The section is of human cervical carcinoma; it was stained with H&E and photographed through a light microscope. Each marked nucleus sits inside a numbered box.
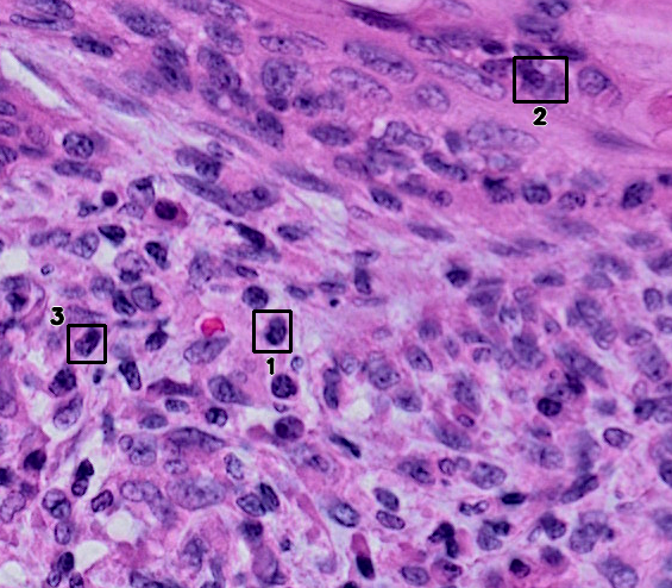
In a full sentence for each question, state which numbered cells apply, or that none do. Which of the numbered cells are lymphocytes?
Cells 1 and 3 are of one type, namely lymphocytes.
